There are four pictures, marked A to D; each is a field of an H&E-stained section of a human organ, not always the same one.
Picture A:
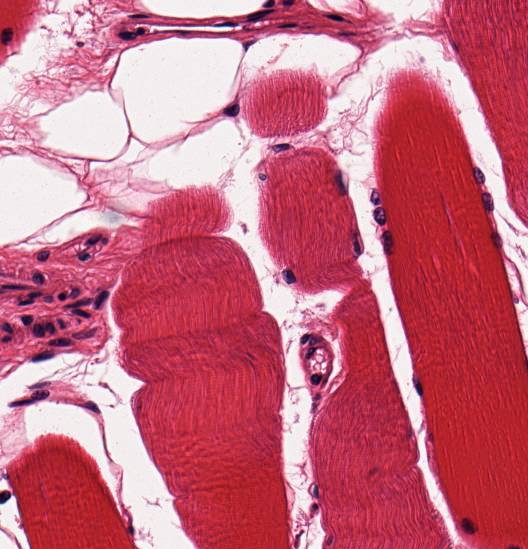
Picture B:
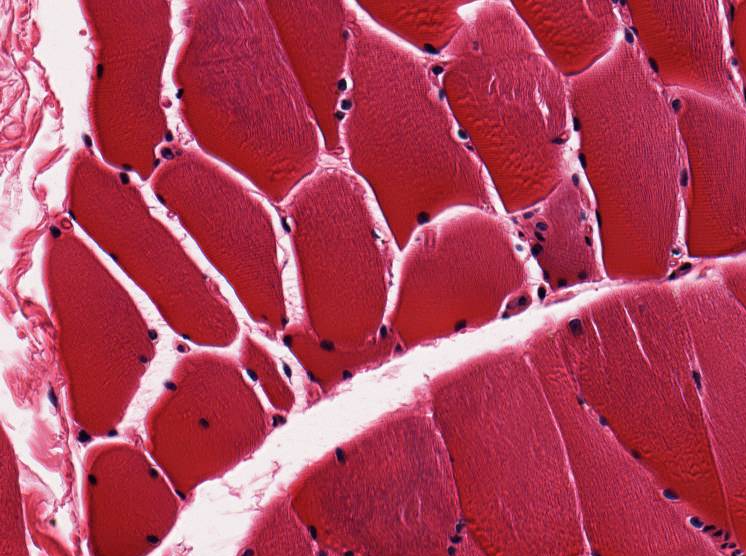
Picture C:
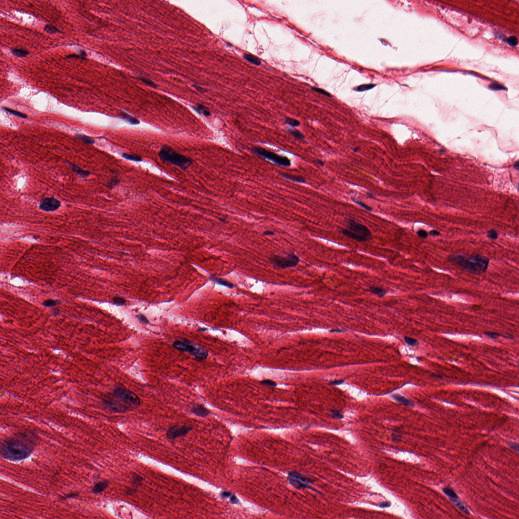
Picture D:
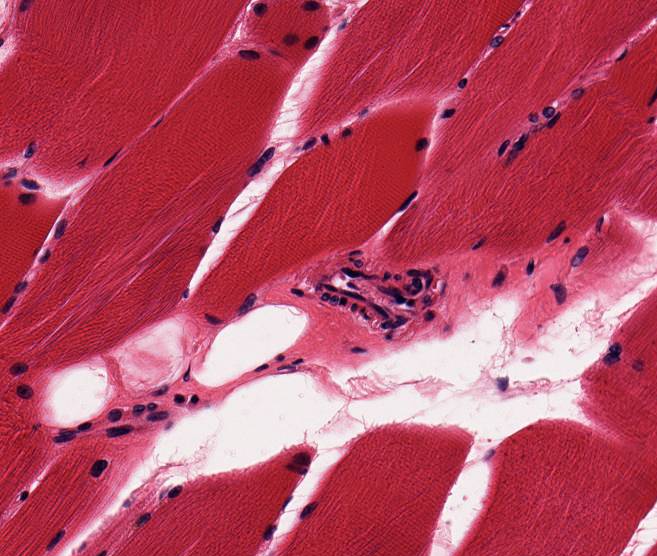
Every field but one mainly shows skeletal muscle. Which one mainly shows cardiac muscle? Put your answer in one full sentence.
Picture C is the field that mainly shows cardiac muscle.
